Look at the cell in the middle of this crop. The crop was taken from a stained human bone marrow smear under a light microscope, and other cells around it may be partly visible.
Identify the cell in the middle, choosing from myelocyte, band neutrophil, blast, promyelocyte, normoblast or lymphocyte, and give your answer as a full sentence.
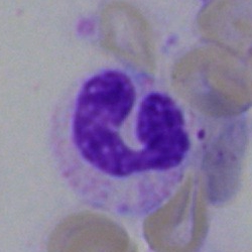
Classification of the middle cell gives a band neutrophil.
